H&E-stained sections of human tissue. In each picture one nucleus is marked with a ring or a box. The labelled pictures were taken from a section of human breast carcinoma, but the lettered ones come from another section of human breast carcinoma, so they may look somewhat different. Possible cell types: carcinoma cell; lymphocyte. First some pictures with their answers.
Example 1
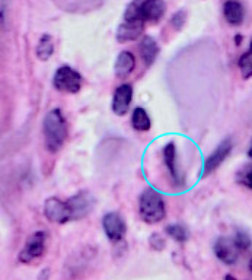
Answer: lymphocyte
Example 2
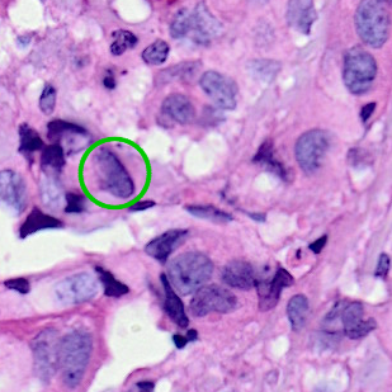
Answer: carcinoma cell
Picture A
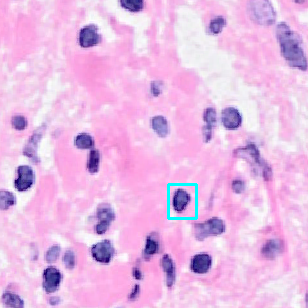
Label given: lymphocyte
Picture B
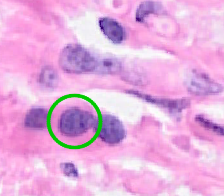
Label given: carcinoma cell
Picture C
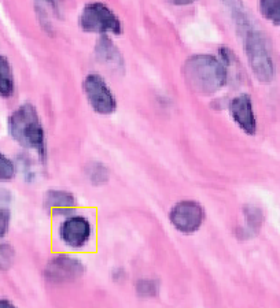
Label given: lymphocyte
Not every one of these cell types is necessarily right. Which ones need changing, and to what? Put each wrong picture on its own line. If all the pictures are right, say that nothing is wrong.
All labels are correct.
